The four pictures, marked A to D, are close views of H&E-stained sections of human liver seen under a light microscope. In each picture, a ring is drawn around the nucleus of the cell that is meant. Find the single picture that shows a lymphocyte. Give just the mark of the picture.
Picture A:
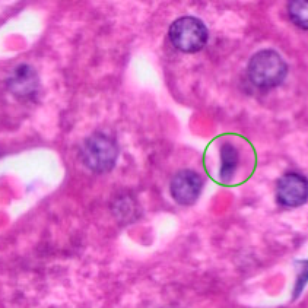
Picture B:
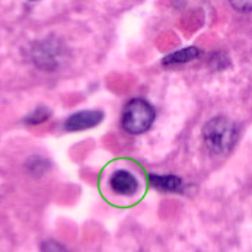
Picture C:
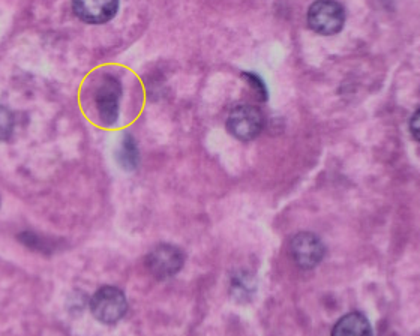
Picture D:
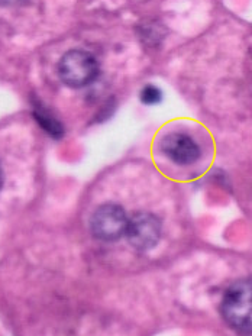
B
